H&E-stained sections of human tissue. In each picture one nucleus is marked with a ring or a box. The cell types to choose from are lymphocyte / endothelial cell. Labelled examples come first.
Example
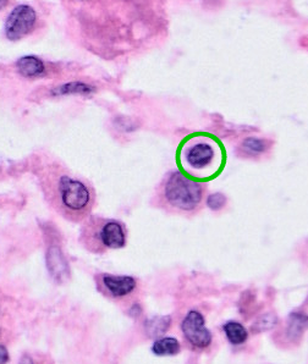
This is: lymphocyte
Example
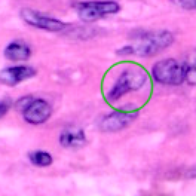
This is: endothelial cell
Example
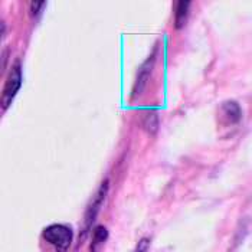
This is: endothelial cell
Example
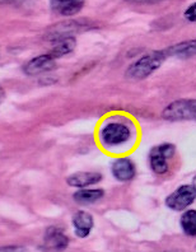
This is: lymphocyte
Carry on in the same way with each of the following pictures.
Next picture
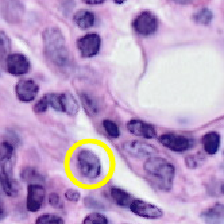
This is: lymphocyte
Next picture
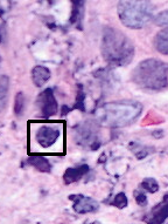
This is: lymphocyte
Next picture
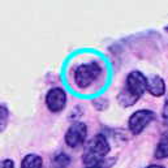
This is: lymphocyte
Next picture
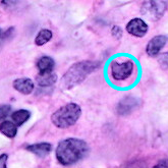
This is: lymphocyte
